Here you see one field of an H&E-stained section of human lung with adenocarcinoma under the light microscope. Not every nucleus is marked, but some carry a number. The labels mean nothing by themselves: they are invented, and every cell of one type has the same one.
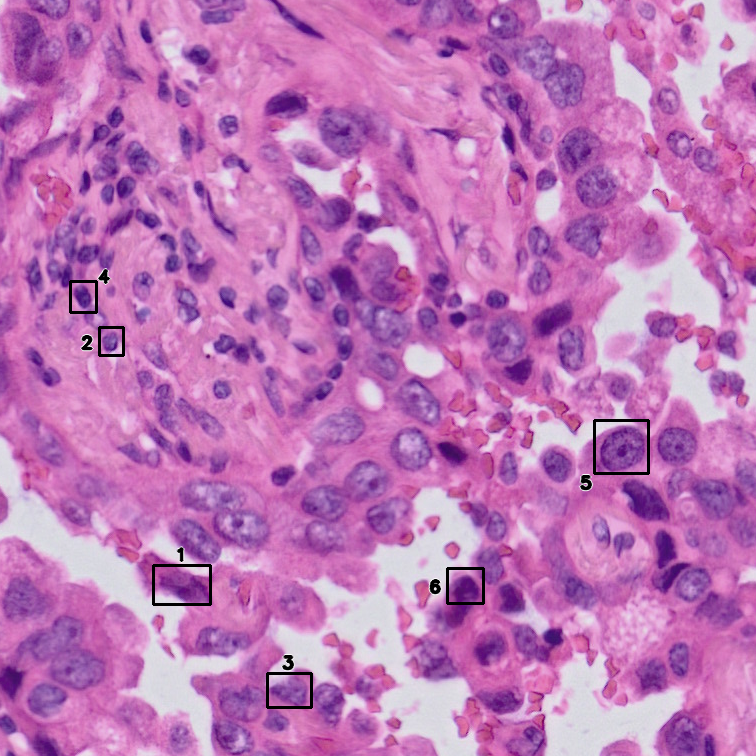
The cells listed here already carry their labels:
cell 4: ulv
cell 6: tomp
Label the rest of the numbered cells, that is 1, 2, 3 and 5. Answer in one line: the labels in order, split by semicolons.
tomp; ulv; tomp; tomp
